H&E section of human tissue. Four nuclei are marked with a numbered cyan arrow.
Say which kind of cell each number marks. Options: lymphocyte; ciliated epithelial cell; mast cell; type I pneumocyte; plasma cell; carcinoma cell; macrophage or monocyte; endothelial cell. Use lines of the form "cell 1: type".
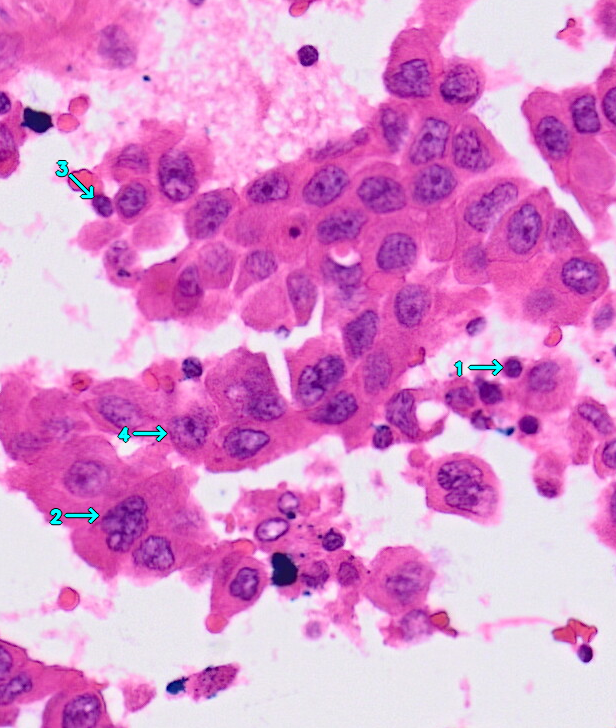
cell 1: lymphocyte
cell 2: carcinoma cell
cell 3: lymphocyte
cell 4: carcinoma cell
